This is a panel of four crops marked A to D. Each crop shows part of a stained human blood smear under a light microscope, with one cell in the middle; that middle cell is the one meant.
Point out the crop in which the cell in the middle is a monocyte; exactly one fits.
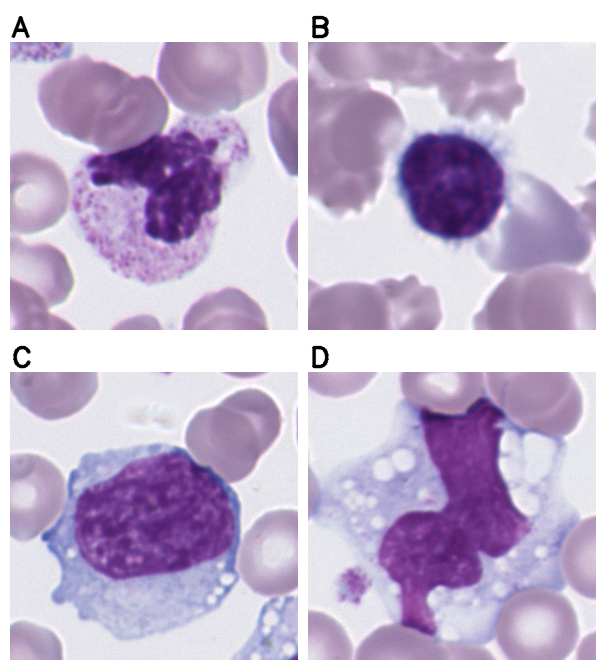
D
